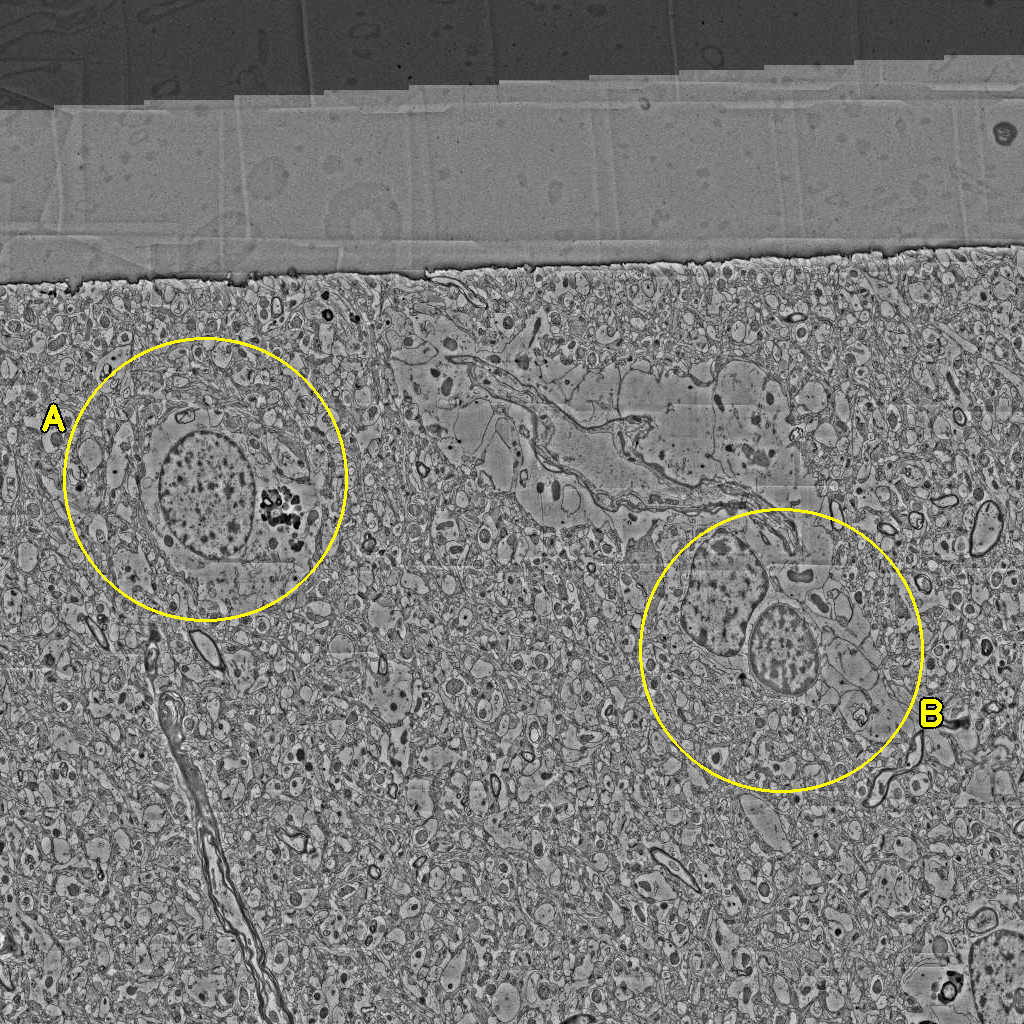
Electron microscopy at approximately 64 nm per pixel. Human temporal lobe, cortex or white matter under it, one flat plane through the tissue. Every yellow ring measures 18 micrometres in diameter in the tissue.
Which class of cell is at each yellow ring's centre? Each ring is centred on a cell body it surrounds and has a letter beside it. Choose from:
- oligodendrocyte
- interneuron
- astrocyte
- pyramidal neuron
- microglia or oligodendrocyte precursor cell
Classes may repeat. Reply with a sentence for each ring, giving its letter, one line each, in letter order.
The ring lettered A is centred on an astrocyte.
The ring lettered B is centred on a microglial cell or oligodendrocyte precursor cell.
